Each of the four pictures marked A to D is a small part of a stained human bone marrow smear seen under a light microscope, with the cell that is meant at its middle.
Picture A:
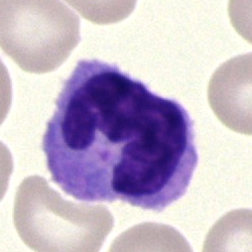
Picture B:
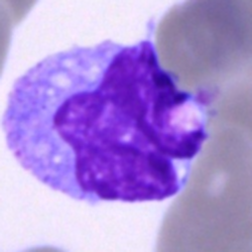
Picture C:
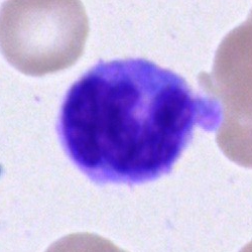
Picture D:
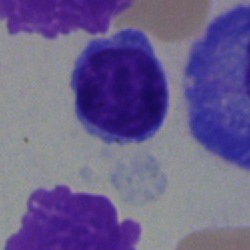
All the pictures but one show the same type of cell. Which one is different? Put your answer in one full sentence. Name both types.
Picture D is the odd one out: it shows a lymphocyte, while the others show monocytes.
